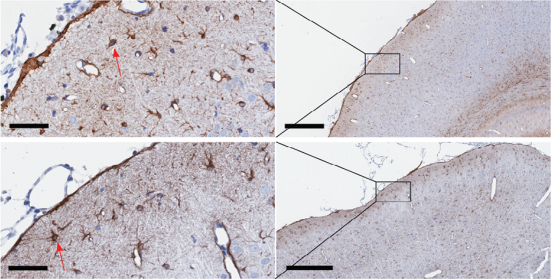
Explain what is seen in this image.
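Cerebral cortex near the brain surface with brown-stained star-shaped glial cells on a blue-counterstained background. A dense brown band lines the pial surface. Unstained neuronal nuclei appear as pale blue rounded profiles between them. Loose connective tissue with elongated nuclei lies over the surface at upper left.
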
